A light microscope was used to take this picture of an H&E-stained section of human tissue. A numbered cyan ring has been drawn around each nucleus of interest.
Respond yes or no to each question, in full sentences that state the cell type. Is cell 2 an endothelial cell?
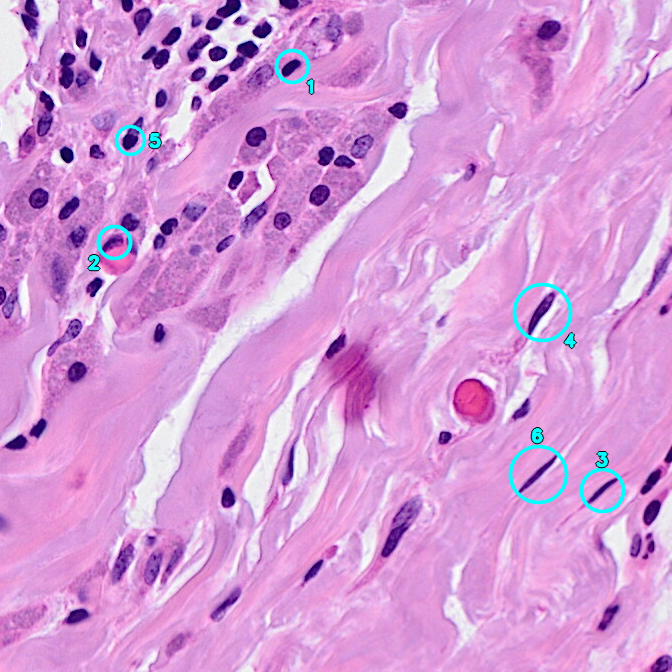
Yes, of the numbered cells, number 2 is an endothelial cell.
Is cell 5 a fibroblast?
No, instead of a fibroblast, the cell with number 5 is a lymphocyte.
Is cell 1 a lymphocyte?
Yes, for number 1, the cell is a lymphocyte.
